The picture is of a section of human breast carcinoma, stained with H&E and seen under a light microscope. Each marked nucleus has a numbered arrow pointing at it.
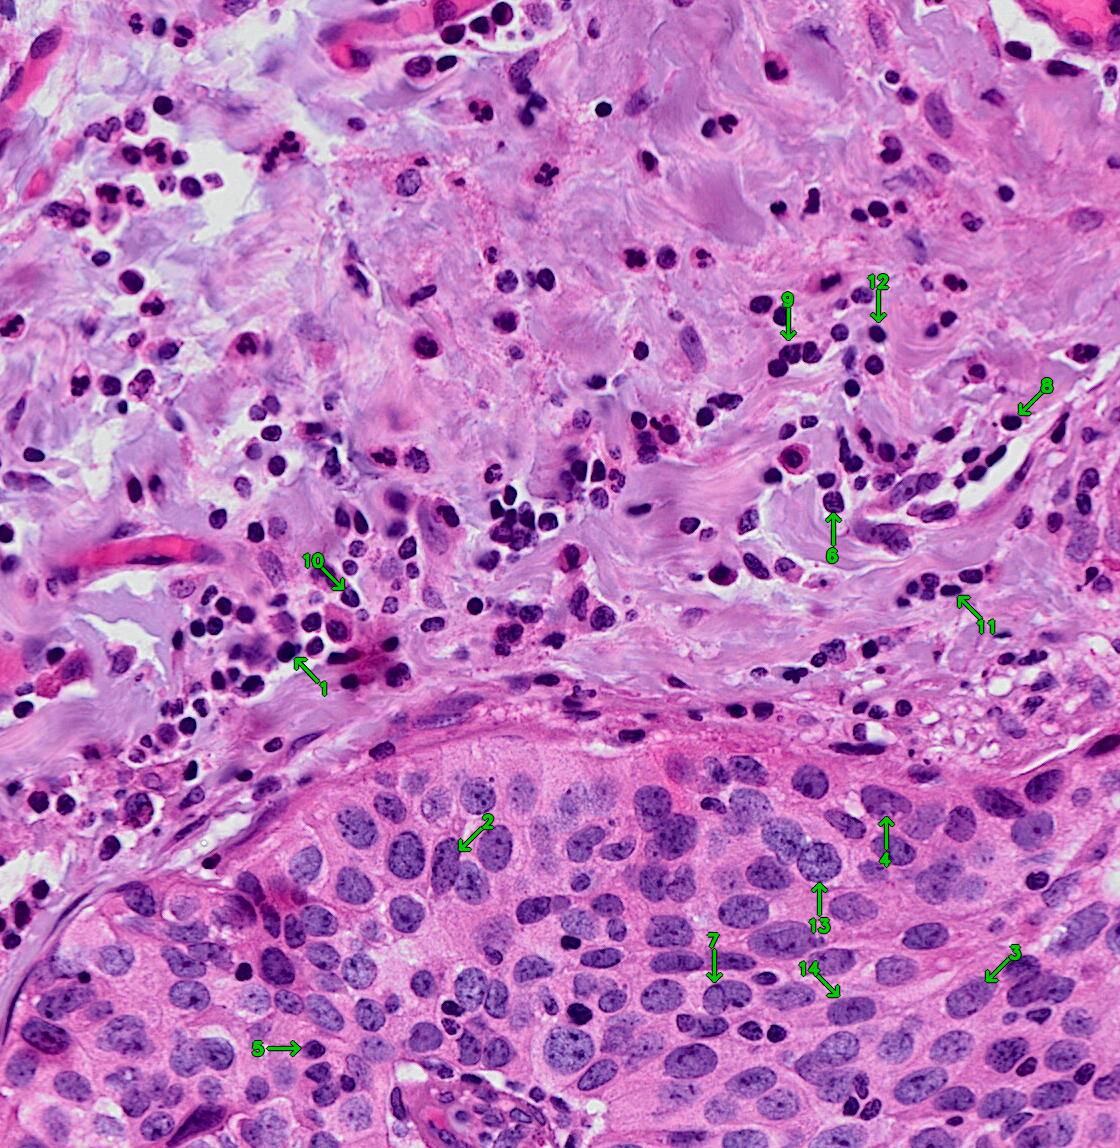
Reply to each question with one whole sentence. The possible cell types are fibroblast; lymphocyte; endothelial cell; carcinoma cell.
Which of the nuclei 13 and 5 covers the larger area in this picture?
Nucleus 13 is the larger one, covering about 4 times the area of nucleus 5.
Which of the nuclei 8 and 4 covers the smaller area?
With nucleus 4 about 4 times its size, nucleus 8 is the smaller of the two.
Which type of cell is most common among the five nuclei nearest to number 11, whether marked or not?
Of the five nuclei nearest to number 11, most belong to lymphocytes.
